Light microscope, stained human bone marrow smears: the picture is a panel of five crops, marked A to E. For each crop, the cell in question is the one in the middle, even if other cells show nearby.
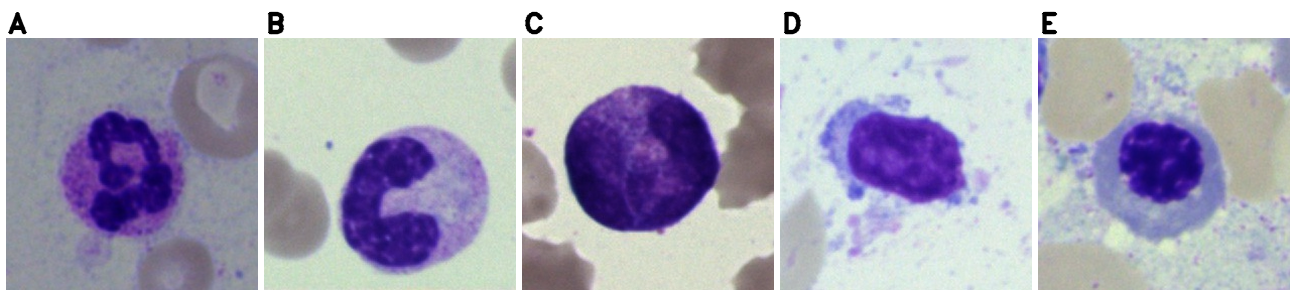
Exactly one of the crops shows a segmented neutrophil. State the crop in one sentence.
Crop A is the one that shows a segmented neutrophil.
